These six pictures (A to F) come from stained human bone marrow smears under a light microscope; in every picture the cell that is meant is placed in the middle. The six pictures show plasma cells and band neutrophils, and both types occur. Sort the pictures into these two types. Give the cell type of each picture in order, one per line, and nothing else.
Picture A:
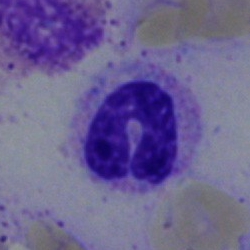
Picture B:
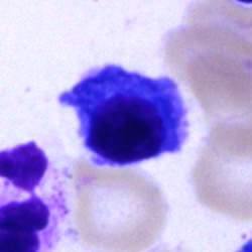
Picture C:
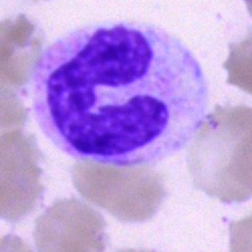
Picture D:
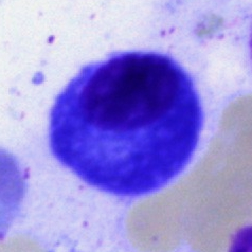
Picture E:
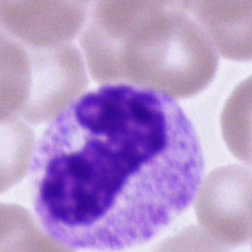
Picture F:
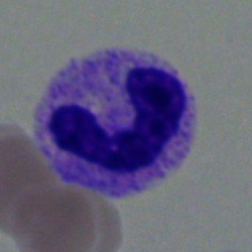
band neutrophil
plasma cell
band neutrophil
plasma cell
band neutrophil
band neutrophil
